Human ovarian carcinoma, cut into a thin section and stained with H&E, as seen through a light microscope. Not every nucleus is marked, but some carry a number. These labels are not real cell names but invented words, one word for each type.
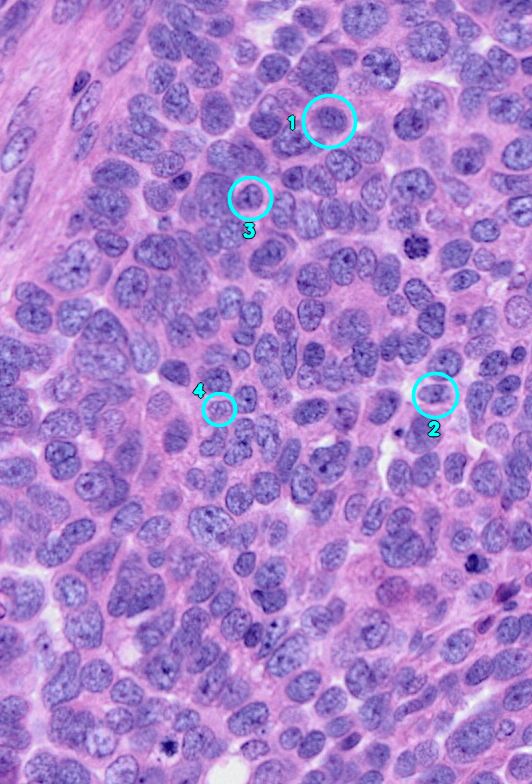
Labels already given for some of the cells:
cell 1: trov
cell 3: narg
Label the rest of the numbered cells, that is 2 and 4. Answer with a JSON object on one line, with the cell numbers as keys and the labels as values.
{"2": "narg", "4": "trov"}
